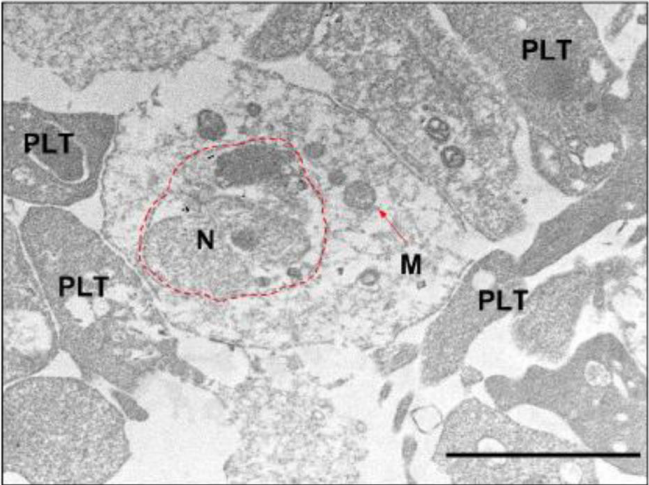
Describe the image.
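Transmission electron micrograph of a small rounded cell. An irregular nucleus, traced by a red dashed line, contains a darker clump of condensed chromatin. It lies in a pale, loosely textured cytoplasm with scattered small round organelles, and the cell is crowded by denser, granular neighbouring profiles.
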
